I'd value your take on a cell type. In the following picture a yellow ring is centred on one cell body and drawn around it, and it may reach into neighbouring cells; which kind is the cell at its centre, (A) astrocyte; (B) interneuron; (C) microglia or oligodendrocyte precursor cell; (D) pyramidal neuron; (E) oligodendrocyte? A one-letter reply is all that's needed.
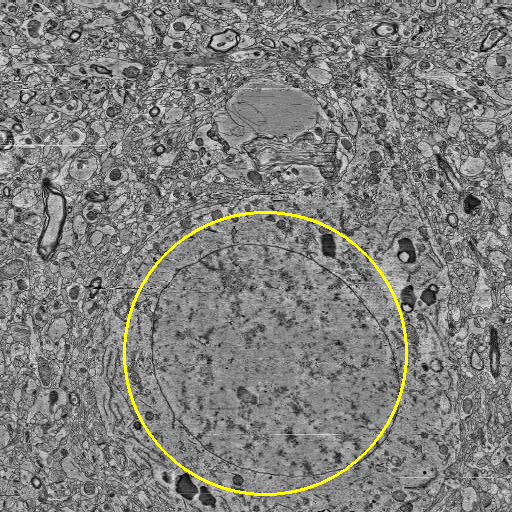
D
